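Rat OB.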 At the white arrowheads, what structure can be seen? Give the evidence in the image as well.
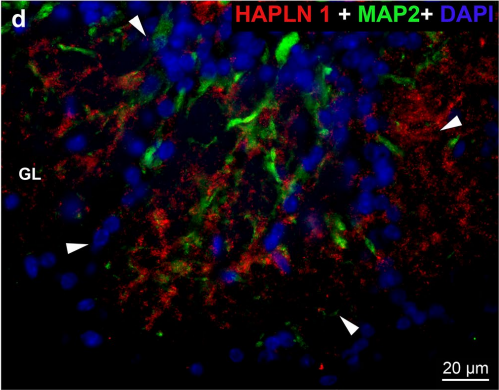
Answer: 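The arrowheads lie around the edge of a central region rich in red puncta and green processes. Blue nuclei cluster outside this region.
Conclusion: border of periglomerular area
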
